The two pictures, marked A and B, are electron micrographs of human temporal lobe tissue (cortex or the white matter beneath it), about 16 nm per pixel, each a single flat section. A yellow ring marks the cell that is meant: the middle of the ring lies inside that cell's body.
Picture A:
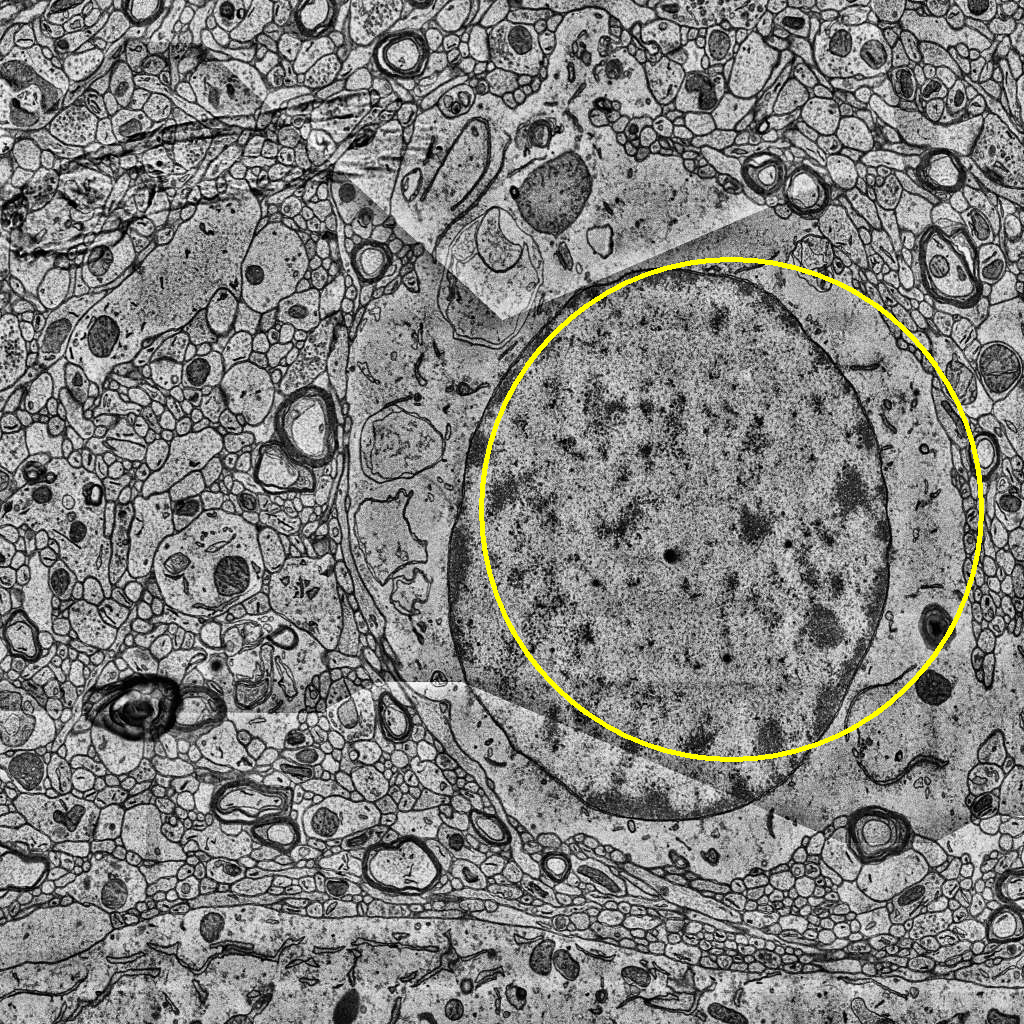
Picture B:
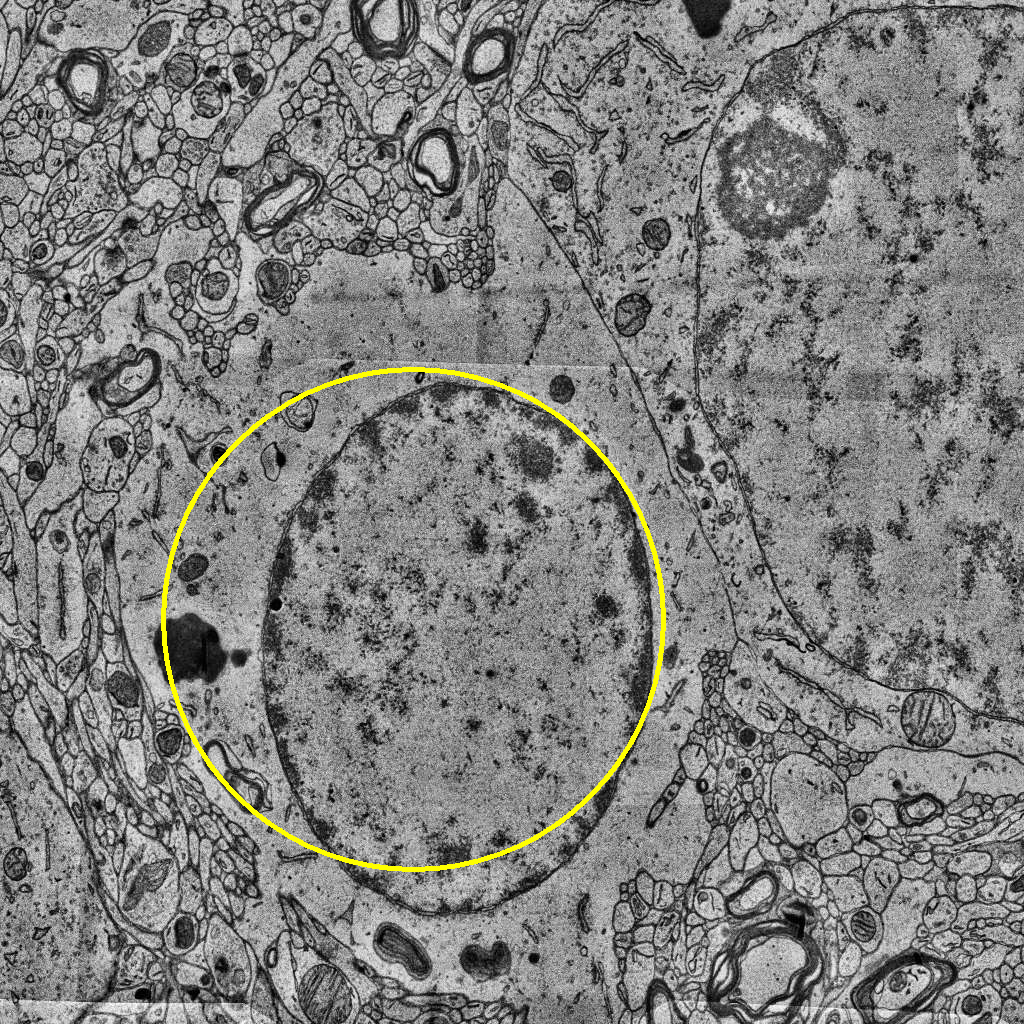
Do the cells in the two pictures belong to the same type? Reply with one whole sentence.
Yes, they are the same type: both are astrocytes.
